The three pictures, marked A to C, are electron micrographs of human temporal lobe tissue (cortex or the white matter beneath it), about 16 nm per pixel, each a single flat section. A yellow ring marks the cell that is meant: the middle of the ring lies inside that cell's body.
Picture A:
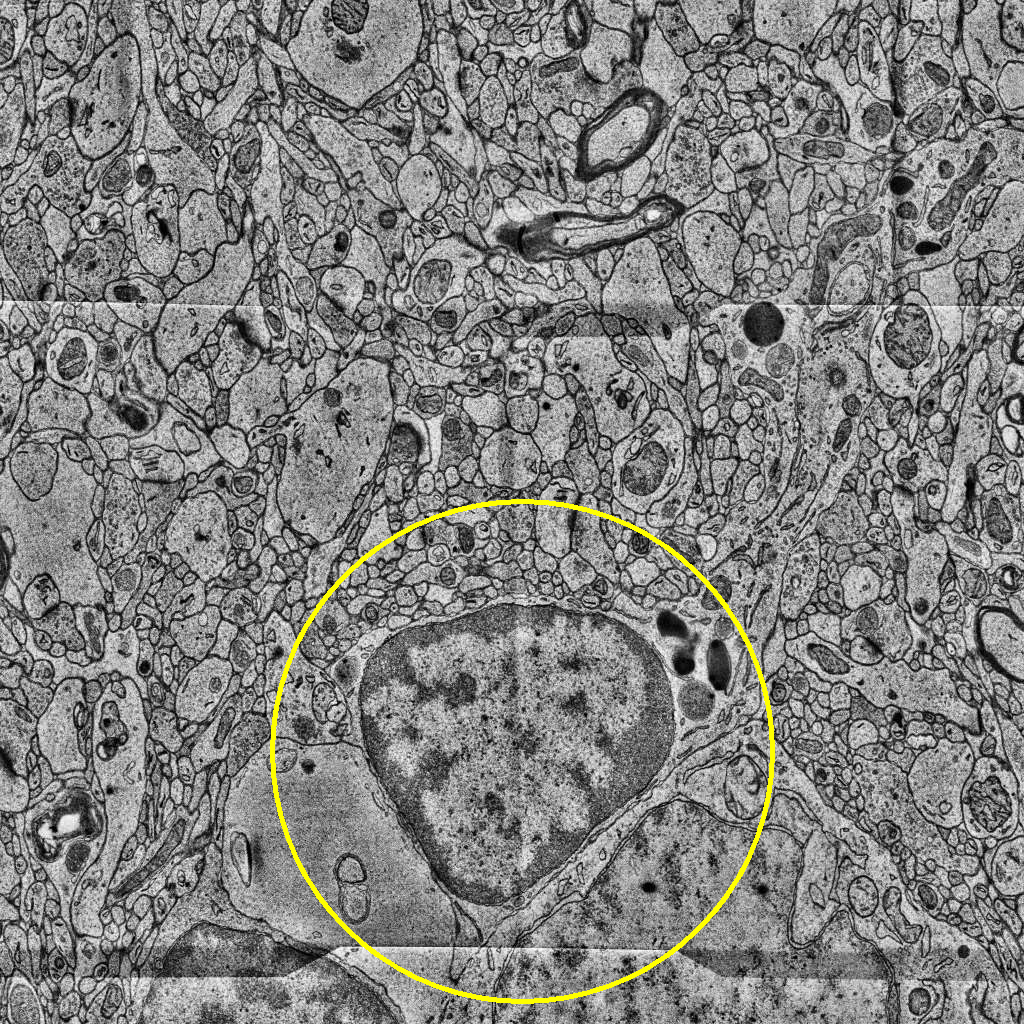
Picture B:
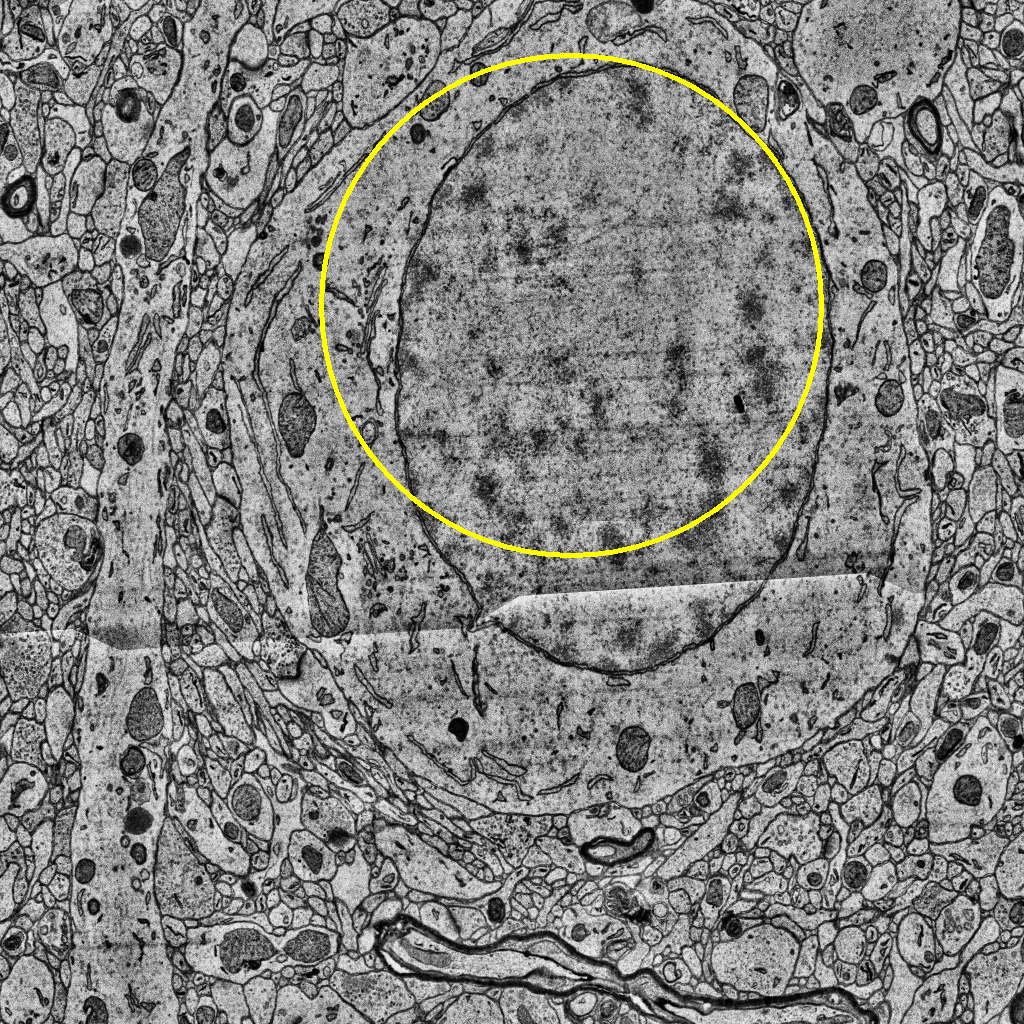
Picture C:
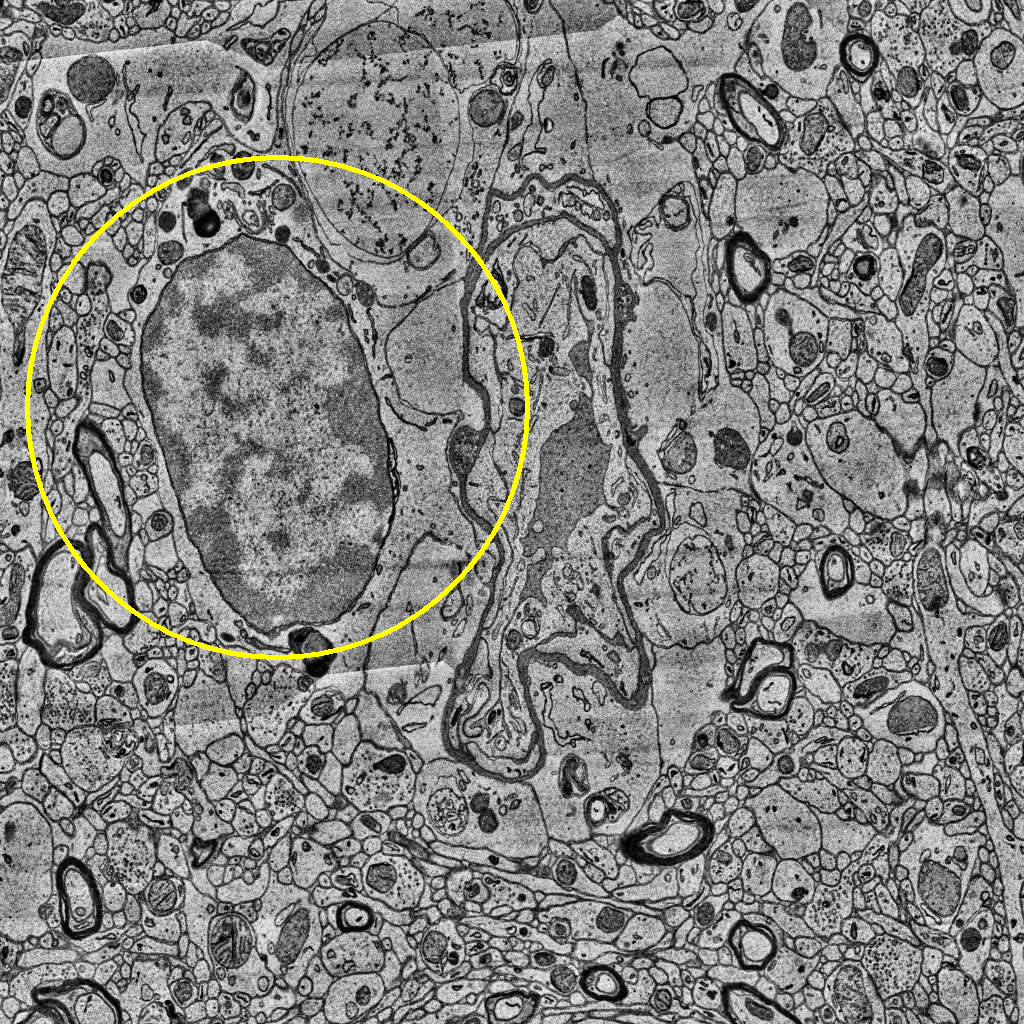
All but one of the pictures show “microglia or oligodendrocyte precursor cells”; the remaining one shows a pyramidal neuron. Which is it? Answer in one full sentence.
It is picture B that shows the pyramidal neuron.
